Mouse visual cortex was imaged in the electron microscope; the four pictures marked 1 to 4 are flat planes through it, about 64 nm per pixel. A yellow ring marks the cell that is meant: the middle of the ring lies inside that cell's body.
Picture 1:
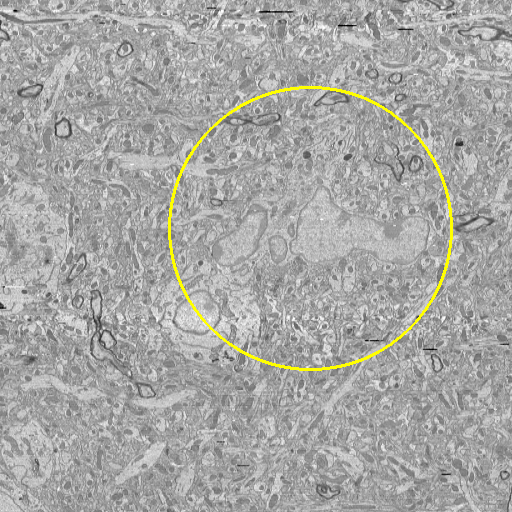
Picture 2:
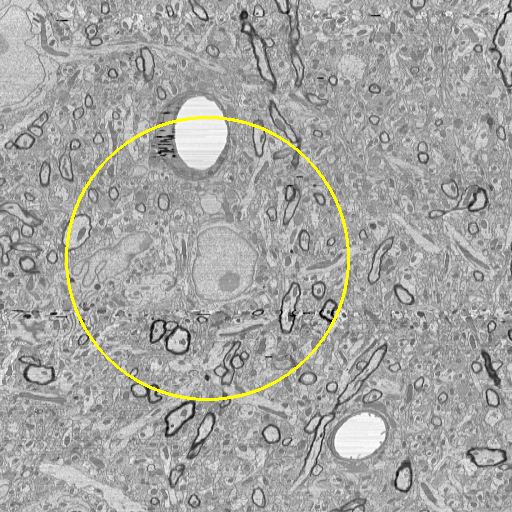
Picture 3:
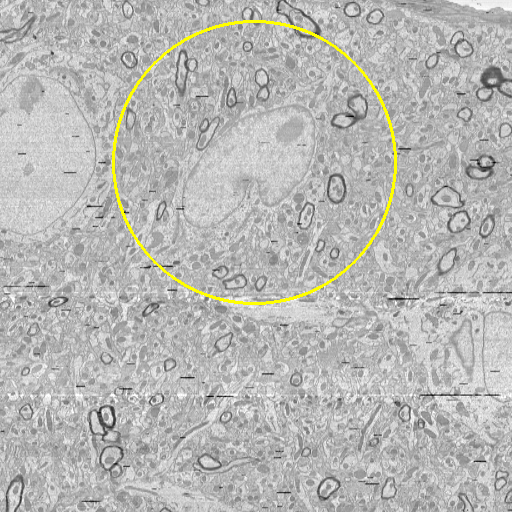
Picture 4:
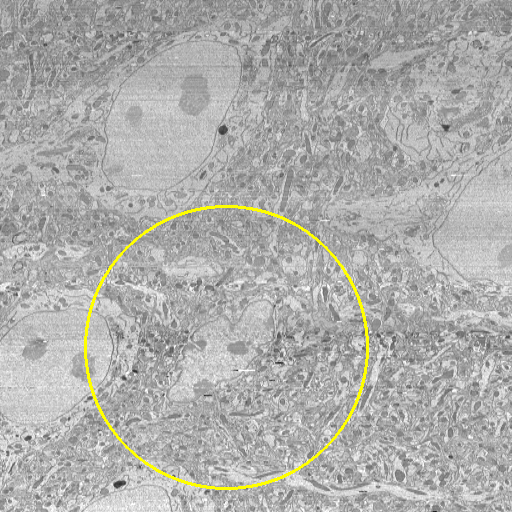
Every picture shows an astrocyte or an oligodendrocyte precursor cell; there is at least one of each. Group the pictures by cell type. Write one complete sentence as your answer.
Picture 3 shows an astrocyte, while pictures 1, 2 and 4 show oligodendrocyte precursor cells.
